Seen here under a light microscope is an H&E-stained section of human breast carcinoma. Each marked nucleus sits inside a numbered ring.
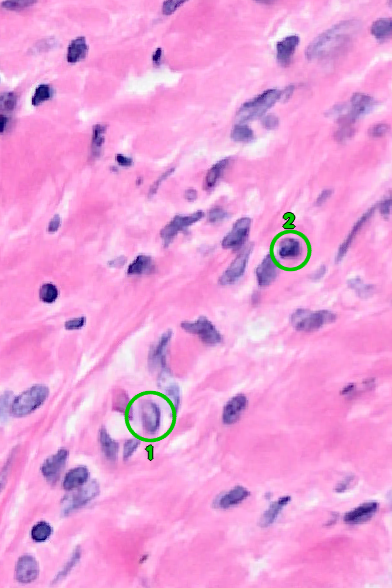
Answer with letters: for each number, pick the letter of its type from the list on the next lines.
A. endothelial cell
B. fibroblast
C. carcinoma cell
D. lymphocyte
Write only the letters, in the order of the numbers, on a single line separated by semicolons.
A; D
